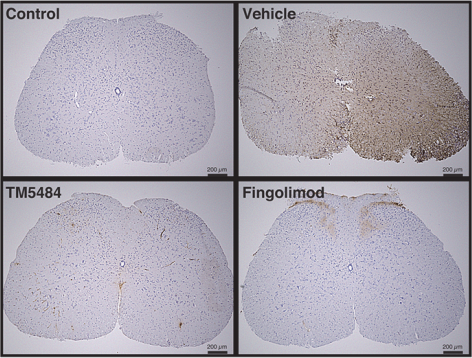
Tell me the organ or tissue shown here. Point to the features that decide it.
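Each field is a whole transverse section with a small central canal in the midline. A ventral midline fissure divides the section.
Answer: Spinal cord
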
